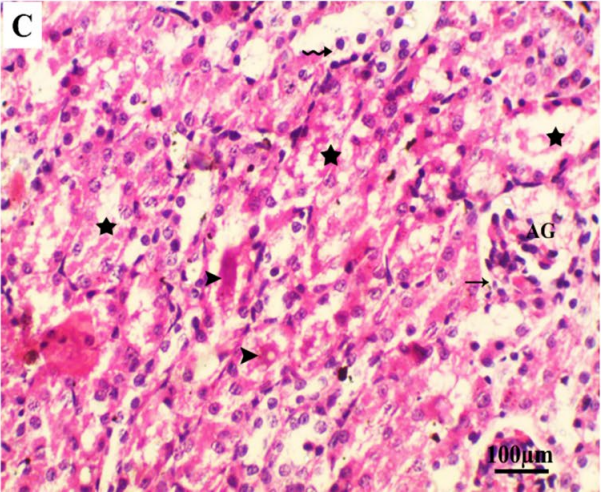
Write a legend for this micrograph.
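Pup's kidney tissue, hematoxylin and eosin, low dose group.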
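Renal cortex with an atrophied glomerulus and widespread damage to the renal tubules. The glomerular tuft is shrunken within a widened space, and the surrounding capsule wall appears interrupted in places. Many tubules have pale, vacuolated, frayed epithelial cytoplasm with poorly defined cell borders, and some lumens are nearly devoid of lining cells. Several tubule lumens contain homogeneous deep pink material without nuclei. Scattered small brown-black granules are present in the tissue.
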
